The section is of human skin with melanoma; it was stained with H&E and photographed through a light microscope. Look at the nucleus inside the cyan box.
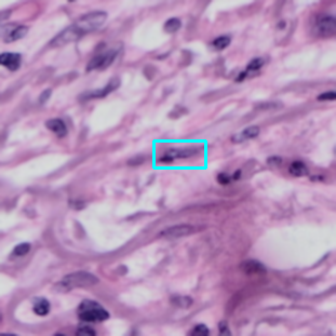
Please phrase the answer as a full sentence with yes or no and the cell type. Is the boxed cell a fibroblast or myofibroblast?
Yes, and to confirm, the boxed cell is a fibroblast or myofibroblast.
